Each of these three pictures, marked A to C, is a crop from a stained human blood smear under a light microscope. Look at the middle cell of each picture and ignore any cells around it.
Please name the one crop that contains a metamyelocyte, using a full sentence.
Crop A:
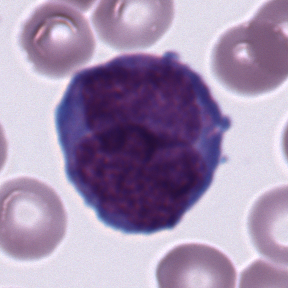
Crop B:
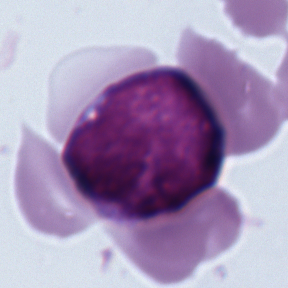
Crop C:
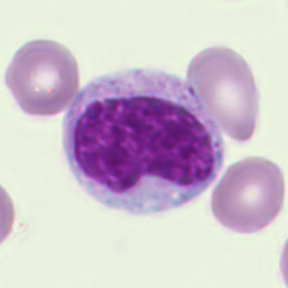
So the crop with a metamyelocyte at its center is crop C.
